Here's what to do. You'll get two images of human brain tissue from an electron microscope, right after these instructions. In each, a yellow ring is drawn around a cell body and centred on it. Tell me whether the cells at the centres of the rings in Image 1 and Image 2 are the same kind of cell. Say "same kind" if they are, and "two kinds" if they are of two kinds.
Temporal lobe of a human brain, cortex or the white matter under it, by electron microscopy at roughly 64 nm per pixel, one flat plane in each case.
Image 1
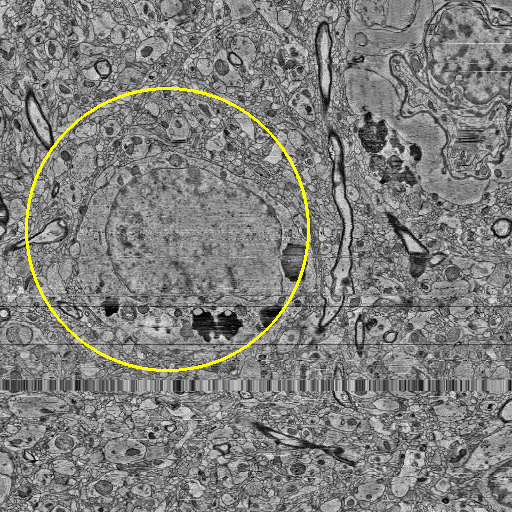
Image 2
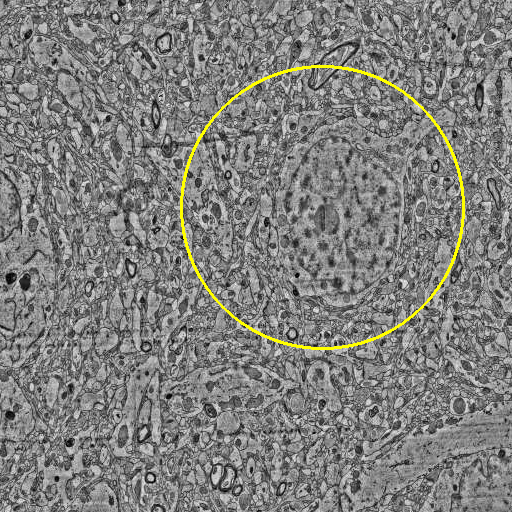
same kind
